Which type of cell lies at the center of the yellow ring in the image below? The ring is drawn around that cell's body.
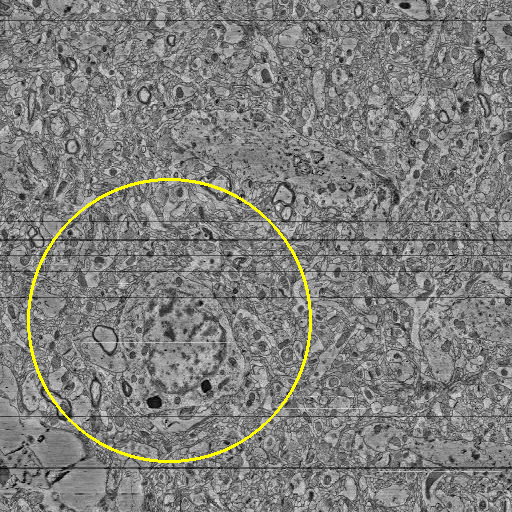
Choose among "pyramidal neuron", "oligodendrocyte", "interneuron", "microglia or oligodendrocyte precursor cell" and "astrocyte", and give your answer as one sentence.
The cell body at the center belongs to an interneuron.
